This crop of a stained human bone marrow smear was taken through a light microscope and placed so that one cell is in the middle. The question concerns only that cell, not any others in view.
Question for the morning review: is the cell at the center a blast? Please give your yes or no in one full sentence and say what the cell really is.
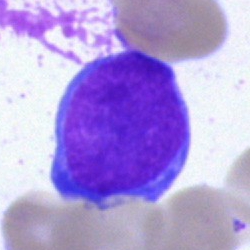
Yes, the cell right in the middle is a blast.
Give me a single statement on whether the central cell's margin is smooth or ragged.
The cell shows a smooth outline that lacks any surface projections.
